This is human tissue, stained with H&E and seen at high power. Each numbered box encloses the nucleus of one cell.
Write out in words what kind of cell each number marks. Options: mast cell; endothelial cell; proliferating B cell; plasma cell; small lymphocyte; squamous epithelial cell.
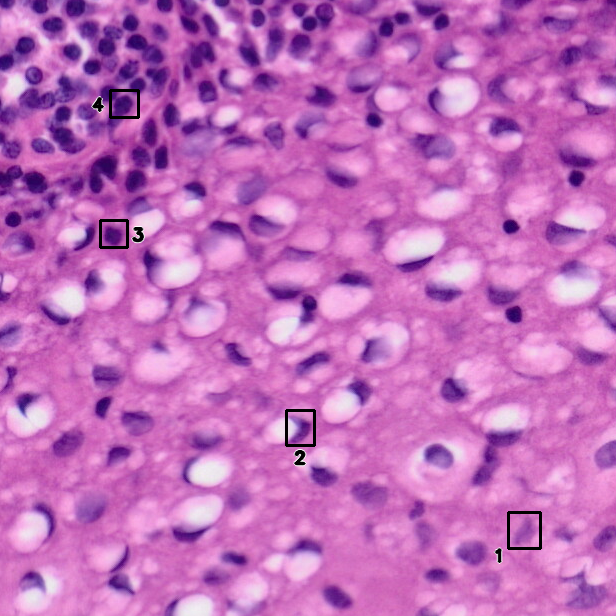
Cell 1 is a squamous epithelial cell, cell 2 is a squamous epithelial cell, cell 3 is a squamous epithelial cell and cell 4 is a plasma cell.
